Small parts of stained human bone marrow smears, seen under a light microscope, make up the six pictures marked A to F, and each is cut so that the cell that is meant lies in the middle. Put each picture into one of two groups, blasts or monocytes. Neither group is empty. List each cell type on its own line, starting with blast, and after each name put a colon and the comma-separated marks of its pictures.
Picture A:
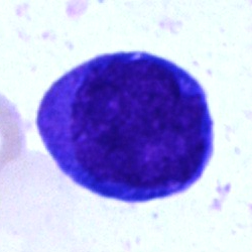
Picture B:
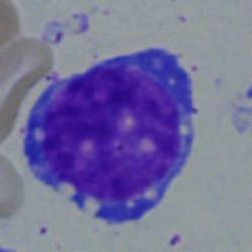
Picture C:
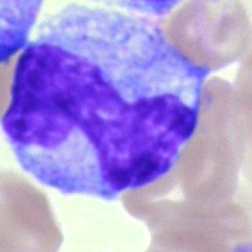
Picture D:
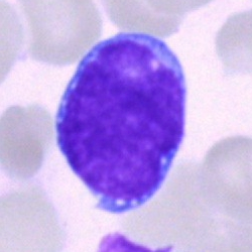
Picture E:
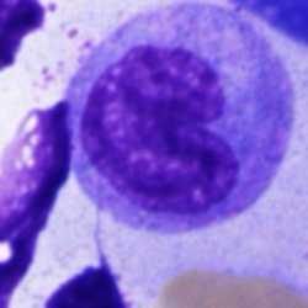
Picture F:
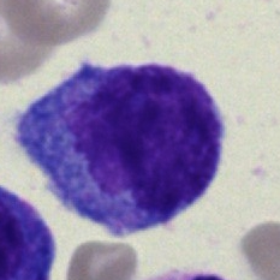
blast: A, B, D
monocyte: C, E, F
